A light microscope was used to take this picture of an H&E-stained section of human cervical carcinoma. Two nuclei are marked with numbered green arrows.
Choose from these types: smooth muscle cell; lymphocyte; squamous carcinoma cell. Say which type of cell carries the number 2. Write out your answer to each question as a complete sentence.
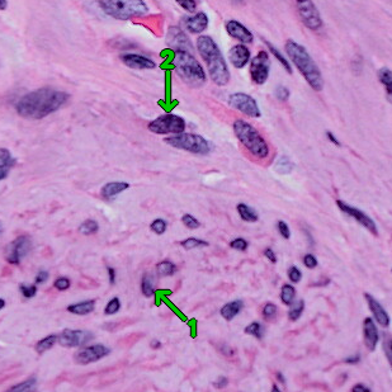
The cell that is numbered 2 is a lymphocyte.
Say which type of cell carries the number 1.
The cell assigned the number 1 is a smooth muscle cell.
